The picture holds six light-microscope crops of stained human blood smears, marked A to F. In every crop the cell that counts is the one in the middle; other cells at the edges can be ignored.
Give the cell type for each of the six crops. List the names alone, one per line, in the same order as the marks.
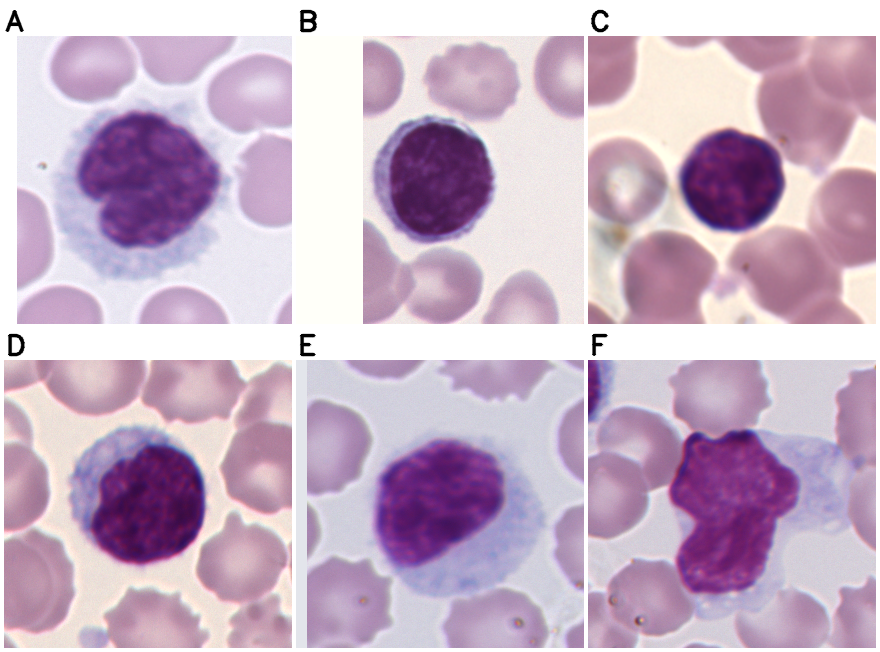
hairy cell
typical lymphocyte
typical lymphocyte
hairy cell
hairy cell
hairy cell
